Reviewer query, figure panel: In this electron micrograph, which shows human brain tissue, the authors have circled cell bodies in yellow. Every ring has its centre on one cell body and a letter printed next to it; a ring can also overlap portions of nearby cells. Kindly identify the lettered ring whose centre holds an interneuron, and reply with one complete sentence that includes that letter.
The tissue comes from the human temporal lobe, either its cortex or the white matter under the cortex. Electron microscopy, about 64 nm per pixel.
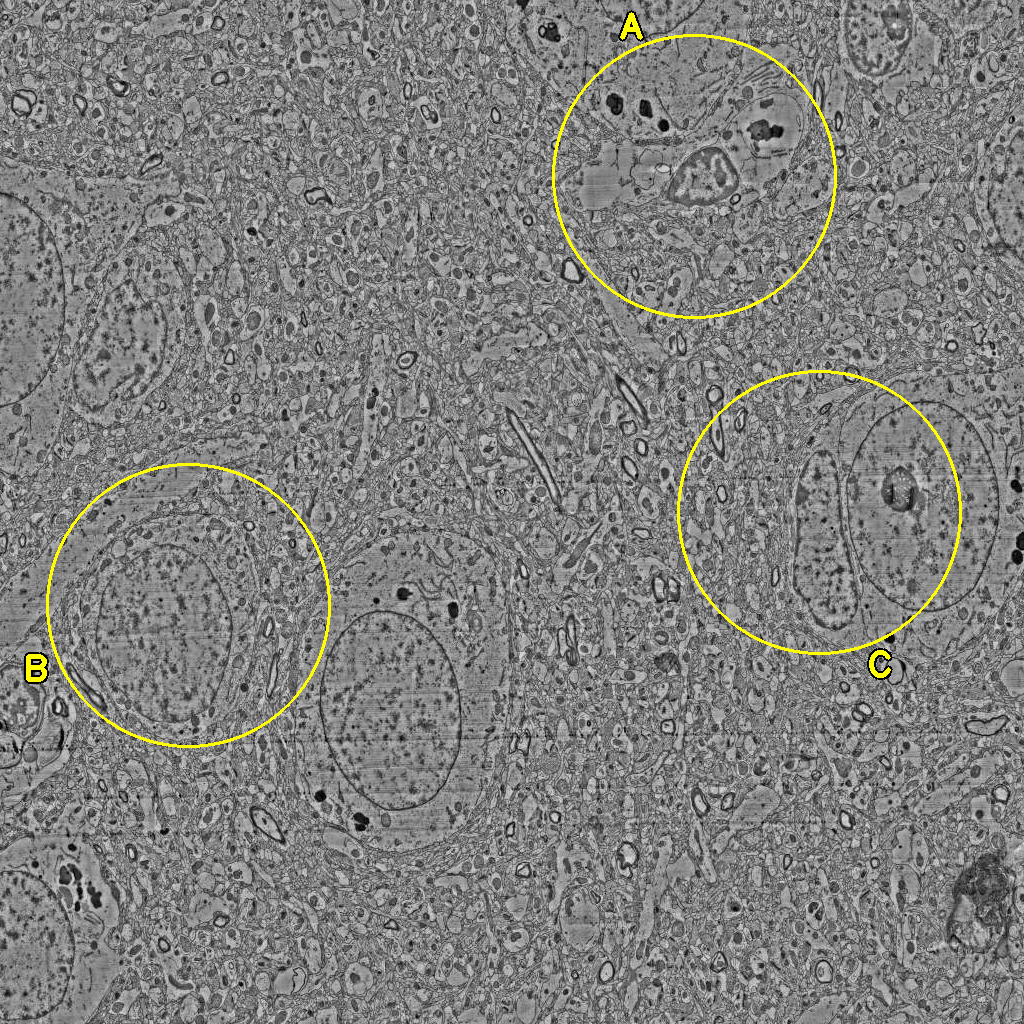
In this figure panel, the ring labelled B has the cell asked for at its centre.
